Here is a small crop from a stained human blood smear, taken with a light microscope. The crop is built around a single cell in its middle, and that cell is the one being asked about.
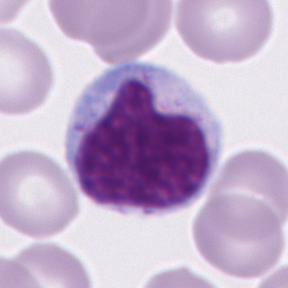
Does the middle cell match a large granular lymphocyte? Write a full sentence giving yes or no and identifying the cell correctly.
Yes, the middle cell is classified as a large granular lymphocyte.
